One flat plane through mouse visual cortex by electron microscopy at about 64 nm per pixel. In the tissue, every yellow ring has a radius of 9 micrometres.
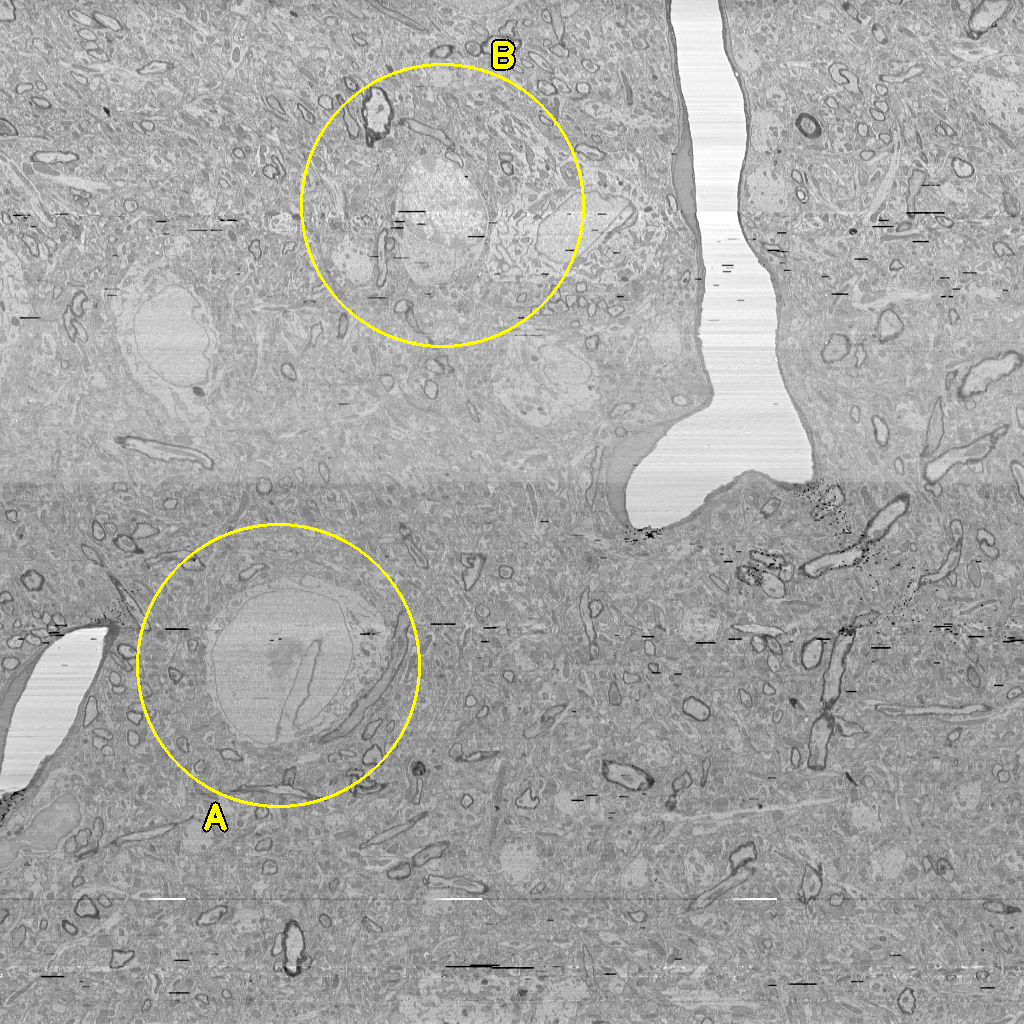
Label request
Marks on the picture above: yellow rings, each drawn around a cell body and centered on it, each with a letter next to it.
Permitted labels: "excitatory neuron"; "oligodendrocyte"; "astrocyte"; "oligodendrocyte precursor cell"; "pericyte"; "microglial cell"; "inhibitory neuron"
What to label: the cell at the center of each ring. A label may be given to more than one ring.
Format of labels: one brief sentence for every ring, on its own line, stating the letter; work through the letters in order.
The cell at the center of ring A is an excitatory neuron.
The cell at the center of ring B is an oligodendrocyte.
